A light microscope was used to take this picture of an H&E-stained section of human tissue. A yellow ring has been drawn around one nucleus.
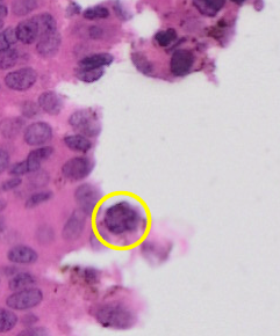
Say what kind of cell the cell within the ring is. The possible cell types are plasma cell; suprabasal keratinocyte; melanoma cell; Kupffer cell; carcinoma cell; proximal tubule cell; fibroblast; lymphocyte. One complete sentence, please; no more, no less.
As classified here, the cell within the ring is a carcinoma cell.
